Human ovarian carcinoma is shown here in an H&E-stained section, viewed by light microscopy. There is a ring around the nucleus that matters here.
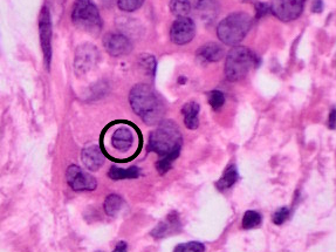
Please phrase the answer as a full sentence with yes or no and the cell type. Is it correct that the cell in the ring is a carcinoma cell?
No, it is a macrophage or monocyte rather than a carcinoma cell that the cell in the ring is.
